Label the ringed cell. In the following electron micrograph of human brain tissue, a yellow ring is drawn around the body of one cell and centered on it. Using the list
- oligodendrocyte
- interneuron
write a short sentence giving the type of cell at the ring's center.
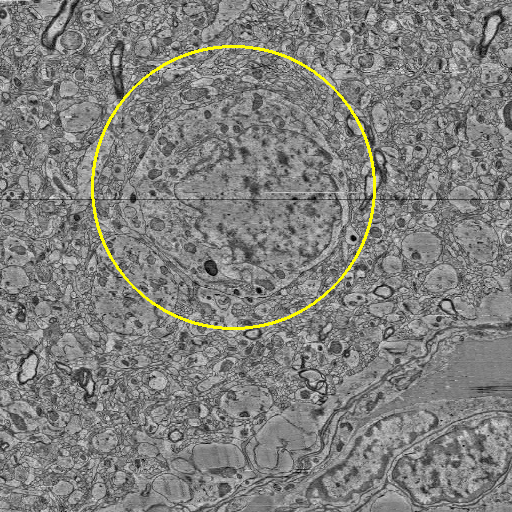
The cell body at the ring's center is that of an interneuron.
